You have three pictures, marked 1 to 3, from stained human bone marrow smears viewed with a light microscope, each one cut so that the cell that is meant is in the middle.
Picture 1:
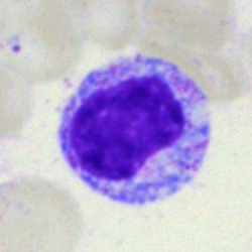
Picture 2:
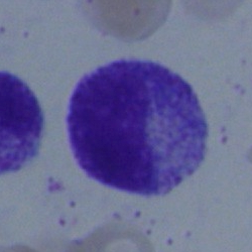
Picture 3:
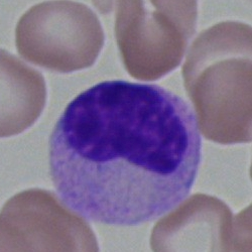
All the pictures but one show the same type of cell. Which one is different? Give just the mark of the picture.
3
